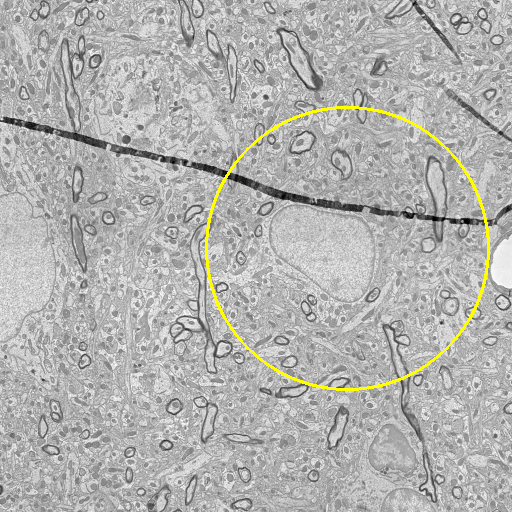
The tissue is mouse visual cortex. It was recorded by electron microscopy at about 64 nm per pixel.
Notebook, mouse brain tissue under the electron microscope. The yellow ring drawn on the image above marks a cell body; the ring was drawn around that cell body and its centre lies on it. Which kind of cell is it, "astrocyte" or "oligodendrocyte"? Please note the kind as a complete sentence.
The marked cell body is that of an astrocyte.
